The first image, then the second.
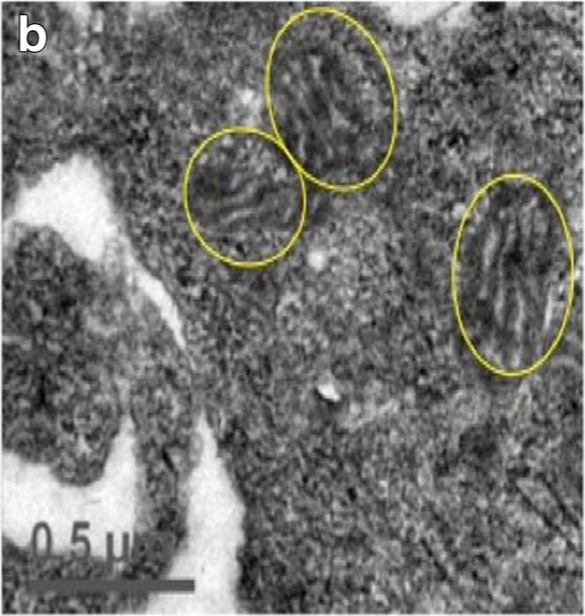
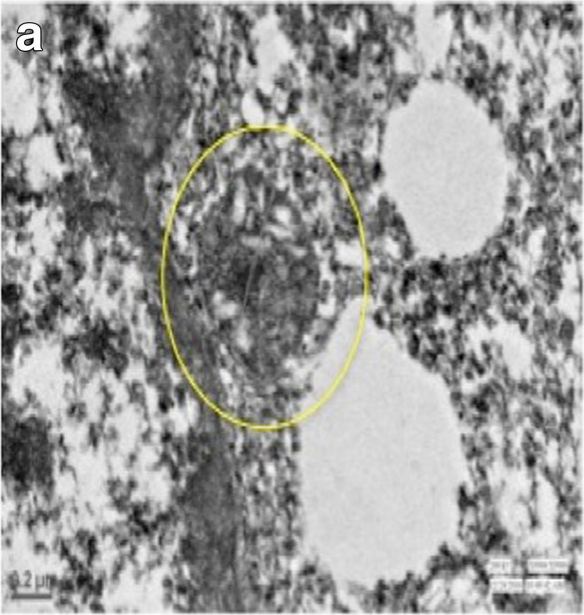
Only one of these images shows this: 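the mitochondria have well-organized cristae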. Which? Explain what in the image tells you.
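Second image: the circled body is dense and mottled, without distinct parallel inner folds.
The first image.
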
